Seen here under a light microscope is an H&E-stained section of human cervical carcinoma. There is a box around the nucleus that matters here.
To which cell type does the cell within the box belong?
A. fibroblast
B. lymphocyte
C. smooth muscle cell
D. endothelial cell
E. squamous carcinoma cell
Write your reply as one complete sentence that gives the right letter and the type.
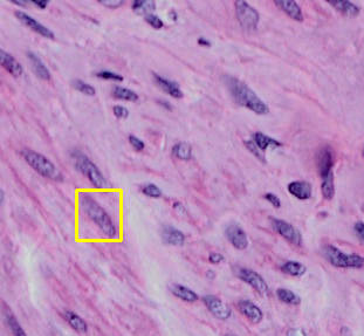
Option C describes the cell within the box accurately as a smooth muscle cell.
